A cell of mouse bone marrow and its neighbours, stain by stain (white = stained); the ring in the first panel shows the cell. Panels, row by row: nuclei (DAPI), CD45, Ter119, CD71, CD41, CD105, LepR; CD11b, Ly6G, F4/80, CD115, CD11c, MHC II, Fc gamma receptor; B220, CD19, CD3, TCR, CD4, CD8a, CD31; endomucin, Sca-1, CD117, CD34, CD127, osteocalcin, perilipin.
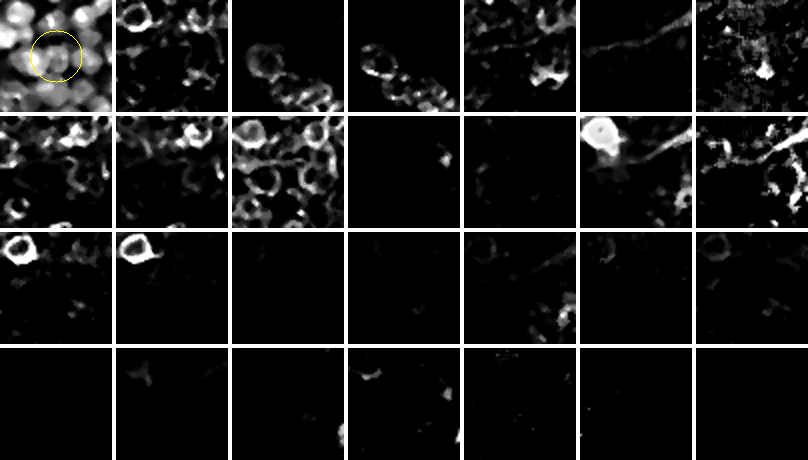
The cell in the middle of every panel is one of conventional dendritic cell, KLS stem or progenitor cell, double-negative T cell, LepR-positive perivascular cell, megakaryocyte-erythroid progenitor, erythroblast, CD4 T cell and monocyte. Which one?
LepR-positive perivascular cell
